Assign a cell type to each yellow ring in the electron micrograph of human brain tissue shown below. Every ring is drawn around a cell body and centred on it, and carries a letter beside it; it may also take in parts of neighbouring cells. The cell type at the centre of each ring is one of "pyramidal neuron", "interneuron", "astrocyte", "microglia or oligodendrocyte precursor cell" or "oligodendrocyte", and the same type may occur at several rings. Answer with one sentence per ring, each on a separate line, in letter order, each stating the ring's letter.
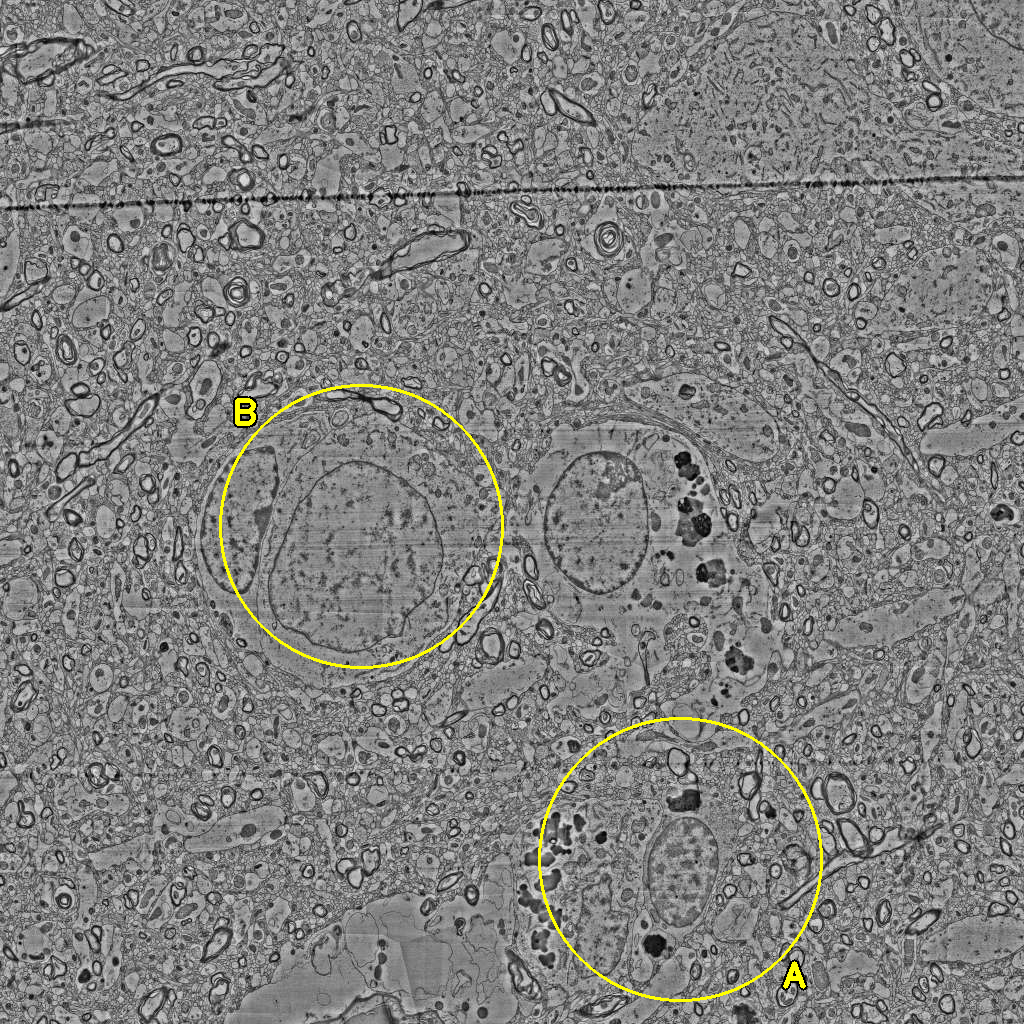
The cell at ring A's centre is an oligodendrocyte.
The cell at ring B's centre is a pyramidal neuron.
